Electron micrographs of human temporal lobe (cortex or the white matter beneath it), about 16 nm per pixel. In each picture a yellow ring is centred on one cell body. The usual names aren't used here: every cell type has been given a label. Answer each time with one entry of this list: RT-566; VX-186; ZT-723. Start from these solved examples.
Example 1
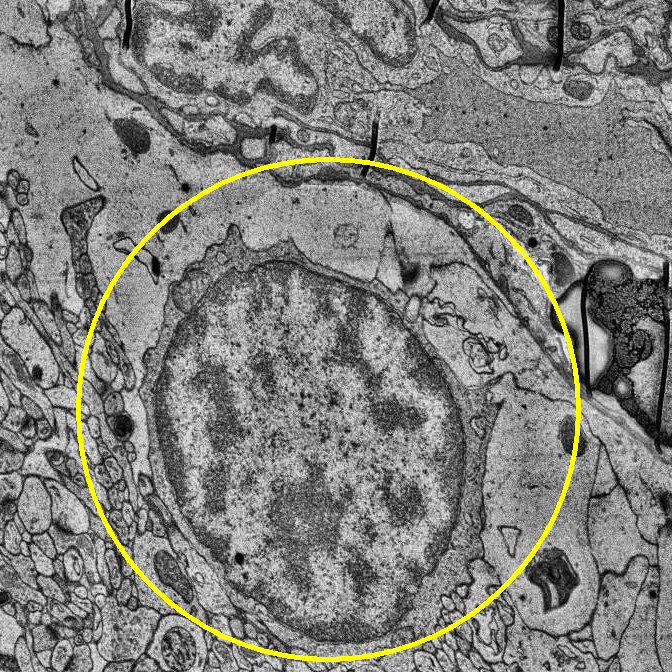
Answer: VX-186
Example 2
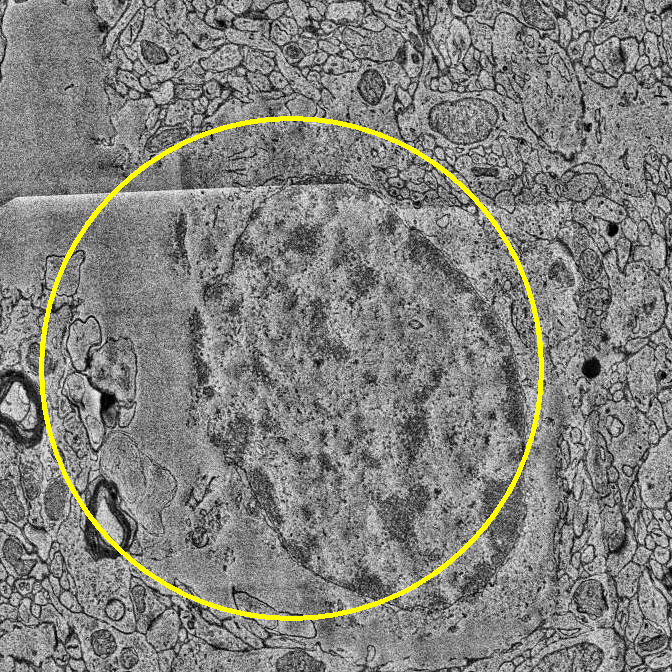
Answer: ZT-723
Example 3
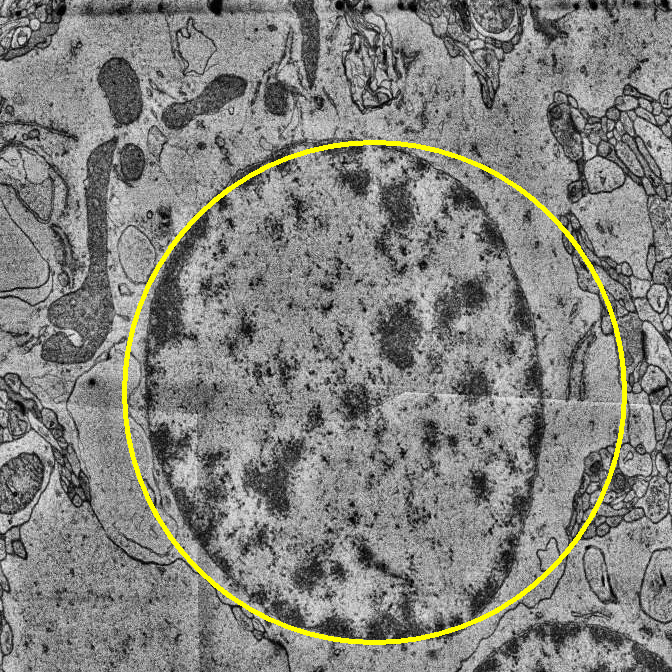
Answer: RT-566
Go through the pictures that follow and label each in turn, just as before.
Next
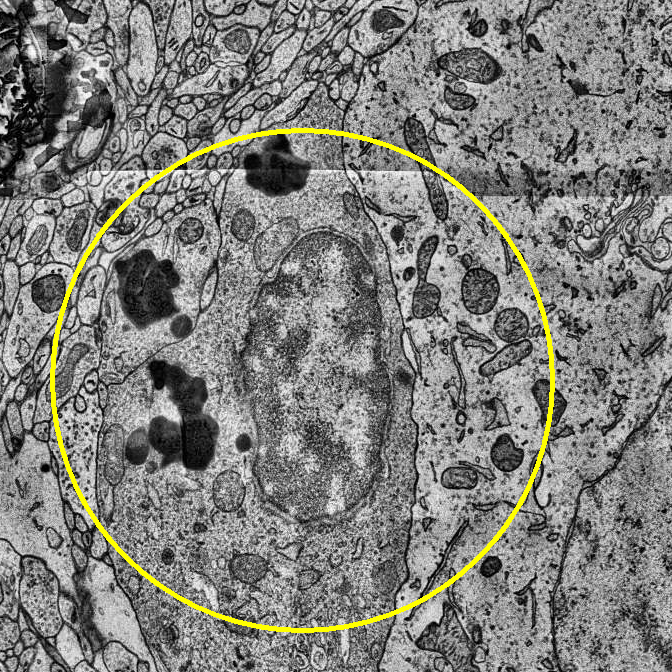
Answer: VX-186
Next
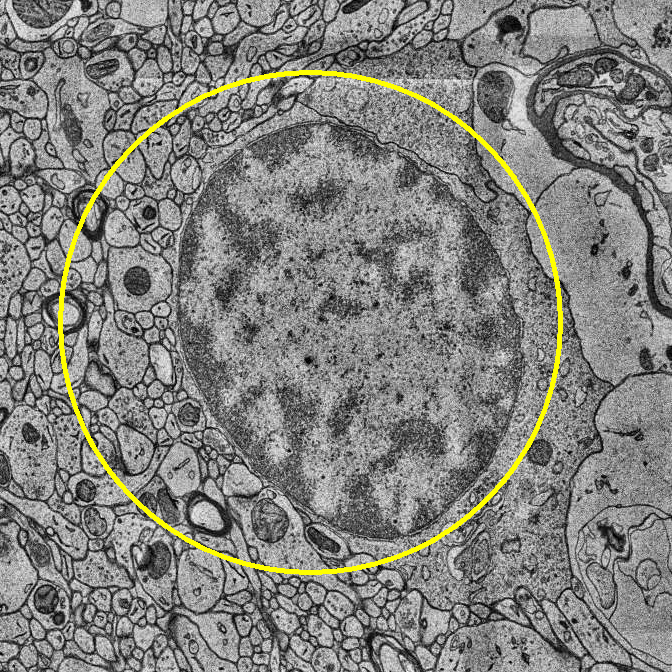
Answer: VX-186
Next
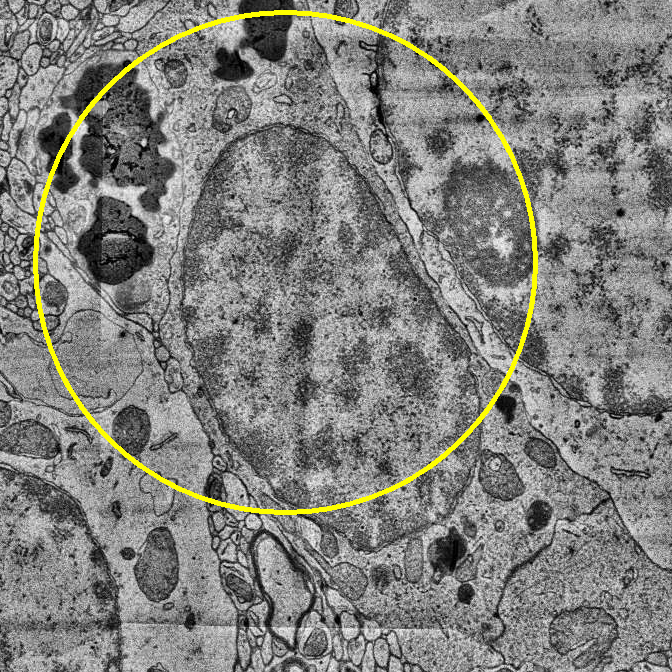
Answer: ZT-723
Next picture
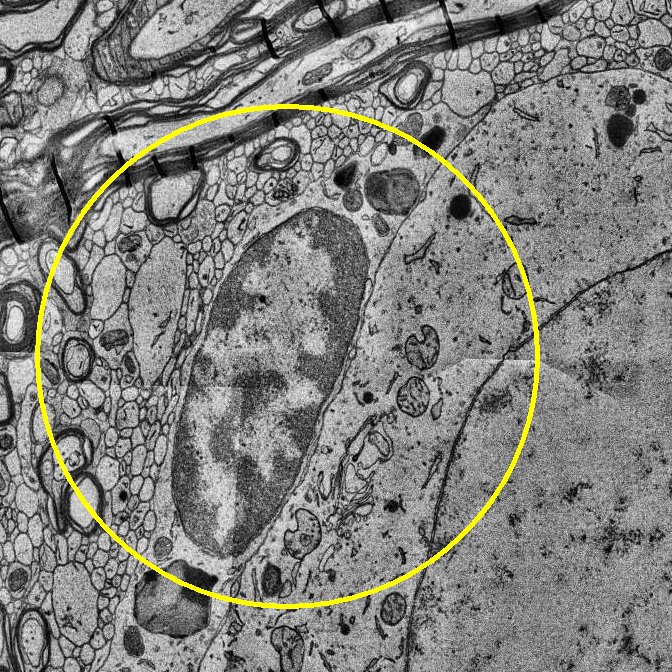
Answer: ZT-723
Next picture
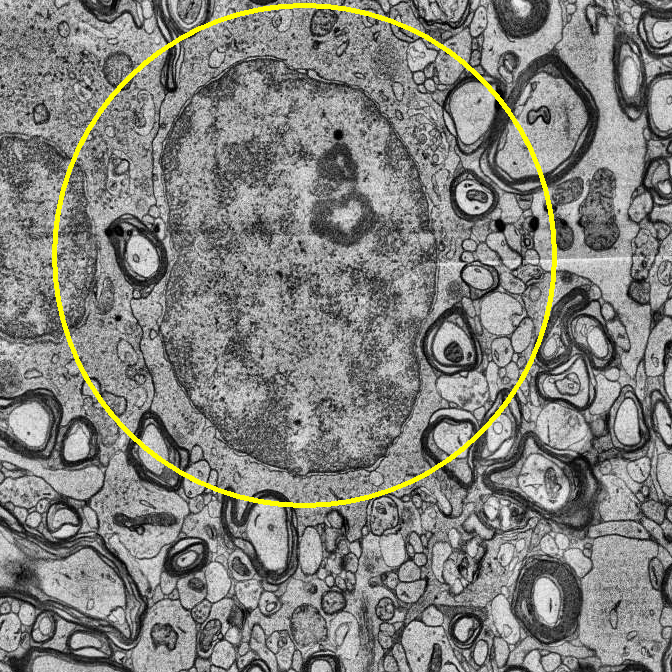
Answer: VX-186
